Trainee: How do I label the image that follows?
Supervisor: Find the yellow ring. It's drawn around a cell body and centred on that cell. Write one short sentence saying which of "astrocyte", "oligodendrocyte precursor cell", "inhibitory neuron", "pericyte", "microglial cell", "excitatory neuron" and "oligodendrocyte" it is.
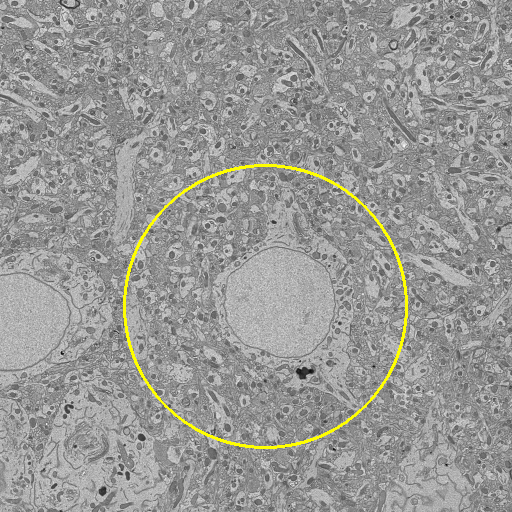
This is the cell body of an excitatory neuron.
